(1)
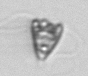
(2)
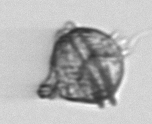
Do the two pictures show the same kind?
No: Pyramimonas, then Protoperidinium.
